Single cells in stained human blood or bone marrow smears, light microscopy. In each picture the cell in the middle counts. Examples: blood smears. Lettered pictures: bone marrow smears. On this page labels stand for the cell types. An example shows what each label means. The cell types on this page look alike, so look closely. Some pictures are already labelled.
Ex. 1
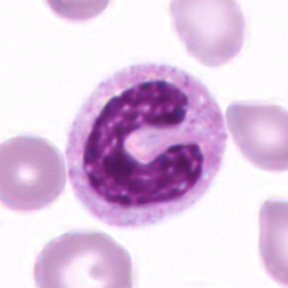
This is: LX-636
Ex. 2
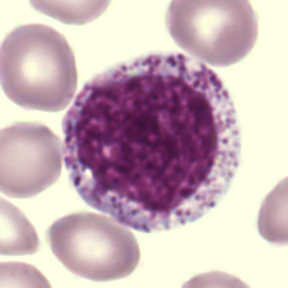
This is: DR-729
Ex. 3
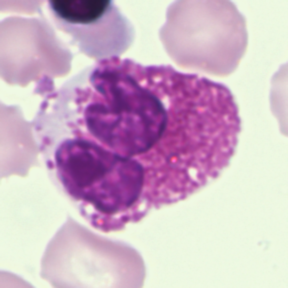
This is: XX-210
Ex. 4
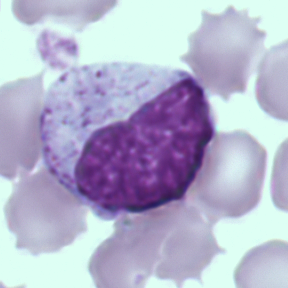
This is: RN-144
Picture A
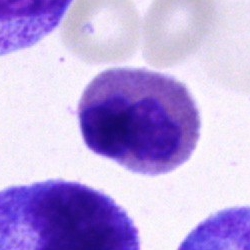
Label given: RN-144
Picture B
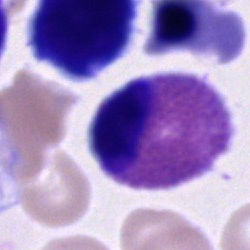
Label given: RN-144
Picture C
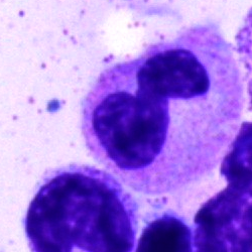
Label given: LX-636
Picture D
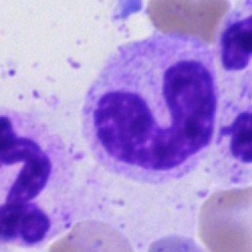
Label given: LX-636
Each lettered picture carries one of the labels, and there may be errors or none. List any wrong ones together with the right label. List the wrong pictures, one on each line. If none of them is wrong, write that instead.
A: XX-210, not RN-144
B: XX-210, not RN-144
